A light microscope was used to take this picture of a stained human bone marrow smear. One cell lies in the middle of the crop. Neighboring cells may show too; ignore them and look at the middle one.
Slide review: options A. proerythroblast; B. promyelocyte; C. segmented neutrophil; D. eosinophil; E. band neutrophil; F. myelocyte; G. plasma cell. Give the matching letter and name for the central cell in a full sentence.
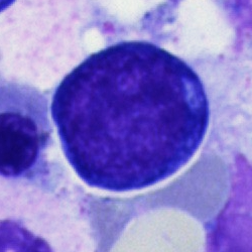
Option A, which names the central cell as a proerythroblast, is correct.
